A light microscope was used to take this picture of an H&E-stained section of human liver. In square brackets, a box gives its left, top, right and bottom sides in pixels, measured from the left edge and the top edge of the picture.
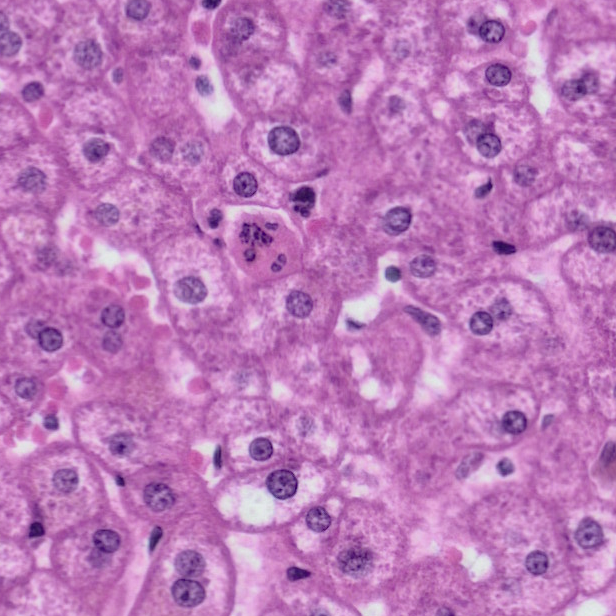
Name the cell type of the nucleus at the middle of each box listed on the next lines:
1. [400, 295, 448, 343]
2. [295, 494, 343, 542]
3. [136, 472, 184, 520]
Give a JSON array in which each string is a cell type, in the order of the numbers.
["Kupffer cell", "hepatocyte", "hepatocyte"]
